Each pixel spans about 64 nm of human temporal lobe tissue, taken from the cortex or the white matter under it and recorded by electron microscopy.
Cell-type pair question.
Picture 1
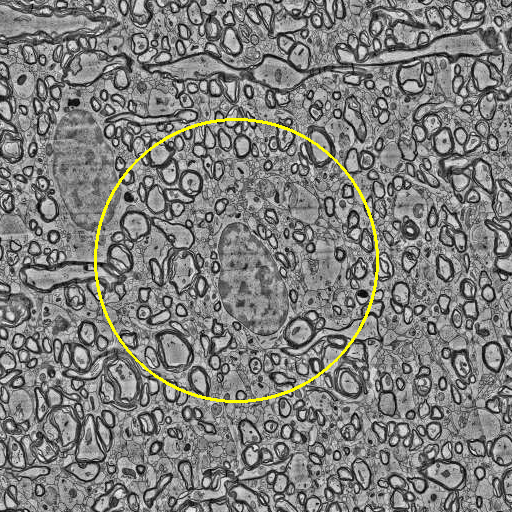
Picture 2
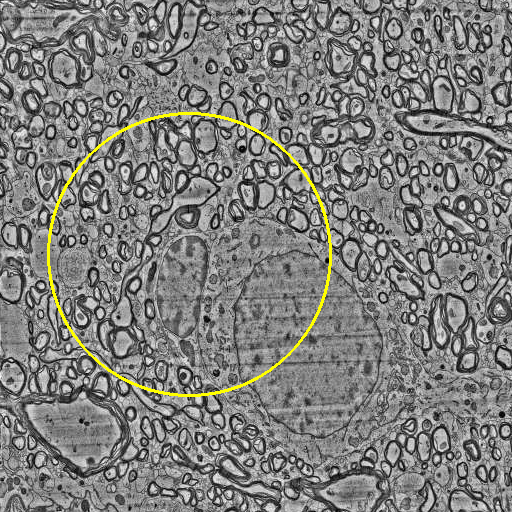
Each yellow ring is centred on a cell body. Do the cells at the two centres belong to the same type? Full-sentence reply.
Yes, the two cells belong to the same type.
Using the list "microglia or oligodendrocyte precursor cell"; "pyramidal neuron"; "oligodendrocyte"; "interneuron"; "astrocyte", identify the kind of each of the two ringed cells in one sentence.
Each of the two cells is a microglial cell or oligodendrocyte precursor cell.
